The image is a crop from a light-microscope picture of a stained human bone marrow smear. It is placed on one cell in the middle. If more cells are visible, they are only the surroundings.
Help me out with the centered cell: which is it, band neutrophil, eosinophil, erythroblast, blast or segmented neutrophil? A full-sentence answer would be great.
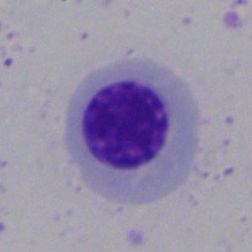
In the centre of this crop there is an erythroblast.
